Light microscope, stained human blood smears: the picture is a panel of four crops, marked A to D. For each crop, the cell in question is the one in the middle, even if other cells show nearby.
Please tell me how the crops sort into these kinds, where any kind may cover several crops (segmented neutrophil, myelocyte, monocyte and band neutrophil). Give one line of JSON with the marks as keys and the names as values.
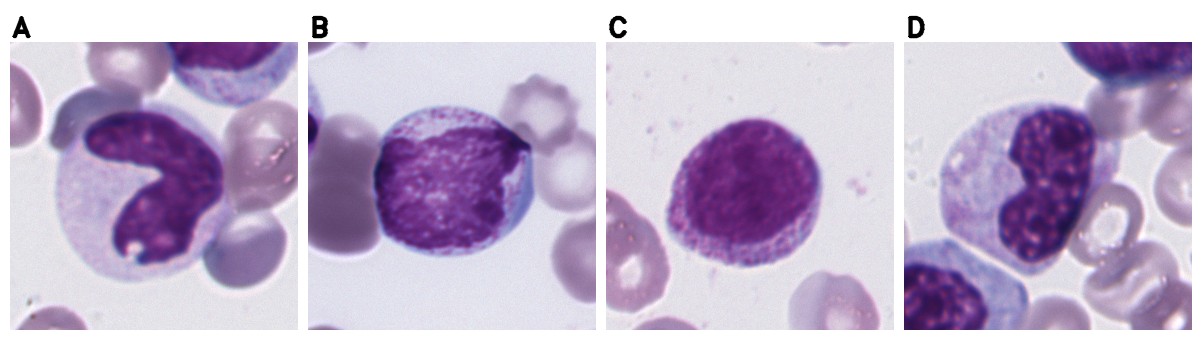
{"A": "band neutrophil", "B": "myelocyte", "C": "myelocyte", "D": "band neutrophil"}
